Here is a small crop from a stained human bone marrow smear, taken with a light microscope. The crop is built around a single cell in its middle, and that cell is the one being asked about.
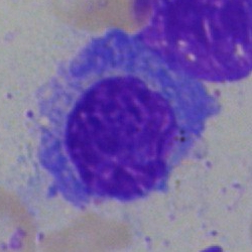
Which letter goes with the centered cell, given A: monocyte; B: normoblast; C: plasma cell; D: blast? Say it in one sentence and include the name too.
Option C is correct, and the cell in the centre is a plasma cell.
